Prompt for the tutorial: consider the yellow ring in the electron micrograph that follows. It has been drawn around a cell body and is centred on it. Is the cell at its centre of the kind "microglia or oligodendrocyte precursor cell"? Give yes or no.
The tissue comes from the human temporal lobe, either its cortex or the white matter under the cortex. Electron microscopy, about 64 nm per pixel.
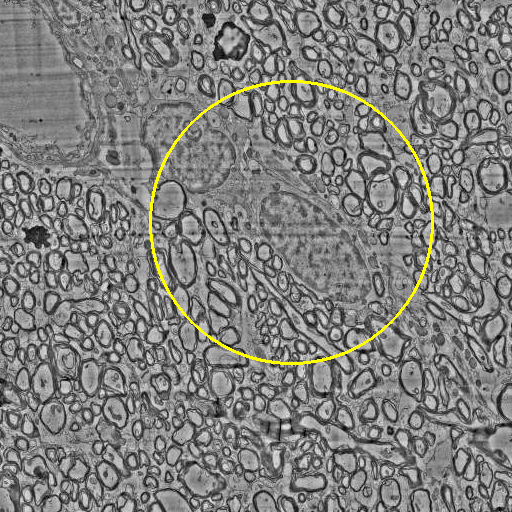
no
